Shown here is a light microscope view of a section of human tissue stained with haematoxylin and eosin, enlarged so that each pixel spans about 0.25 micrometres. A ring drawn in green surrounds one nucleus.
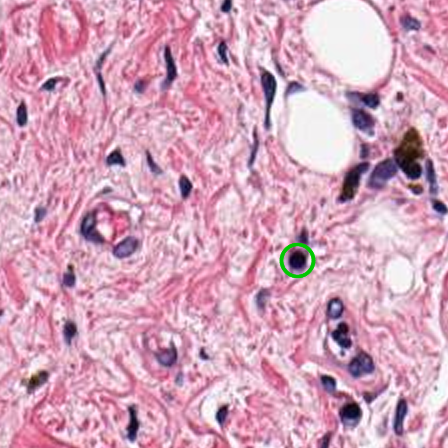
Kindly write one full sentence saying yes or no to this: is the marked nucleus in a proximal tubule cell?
No, what the marked nucleus belongs to is a supporting cell, not a proximal tubule cell.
